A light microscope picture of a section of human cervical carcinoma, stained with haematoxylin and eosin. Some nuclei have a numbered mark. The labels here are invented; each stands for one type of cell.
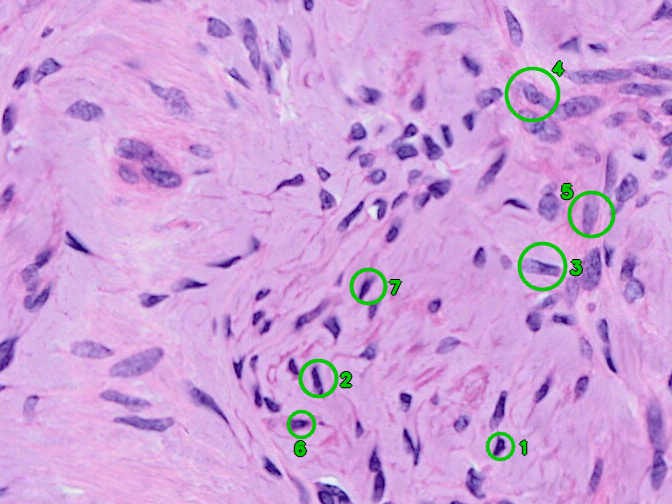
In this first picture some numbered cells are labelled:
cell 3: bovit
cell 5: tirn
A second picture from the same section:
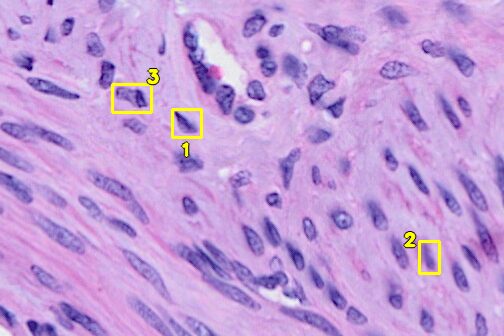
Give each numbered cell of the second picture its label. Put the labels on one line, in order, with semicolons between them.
bovit; tirn; bovit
